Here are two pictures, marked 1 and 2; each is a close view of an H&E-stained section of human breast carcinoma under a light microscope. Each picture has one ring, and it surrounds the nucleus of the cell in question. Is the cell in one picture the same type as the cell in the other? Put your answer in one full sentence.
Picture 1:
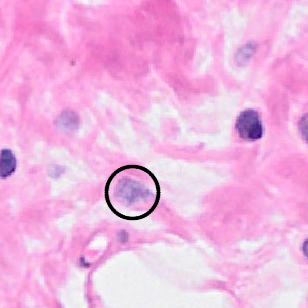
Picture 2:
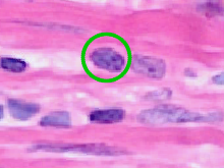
No, they differ: the cell is a fibroblast in picture 1 and a lymphocyte in picture 2.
